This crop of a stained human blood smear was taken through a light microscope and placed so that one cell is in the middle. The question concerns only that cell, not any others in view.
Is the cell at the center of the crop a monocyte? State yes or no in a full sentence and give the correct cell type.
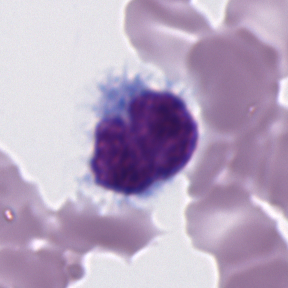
No, a monocyte is not what the central cell is; it is a hairy cell.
